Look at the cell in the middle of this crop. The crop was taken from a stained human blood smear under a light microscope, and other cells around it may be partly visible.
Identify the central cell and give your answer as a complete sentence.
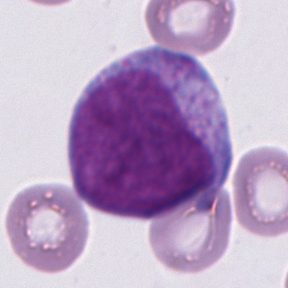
The cell positioned in the middle of the field is a promyelocyte.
